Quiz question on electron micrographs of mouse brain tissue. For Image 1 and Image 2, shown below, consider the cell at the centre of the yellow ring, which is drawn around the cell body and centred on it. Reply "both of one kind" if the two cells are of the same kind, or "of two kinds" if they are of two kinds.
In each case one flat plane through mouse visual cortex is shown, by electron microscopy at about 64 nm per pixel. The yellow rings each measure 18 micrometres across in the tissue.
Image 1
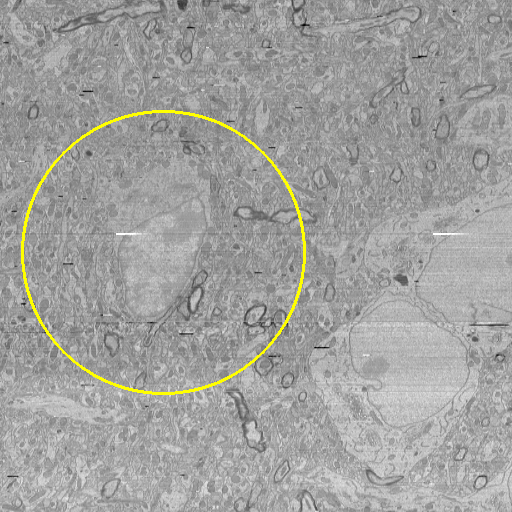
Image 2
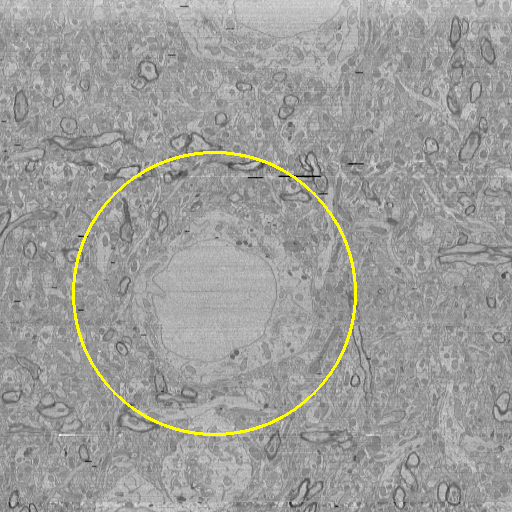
of two kinds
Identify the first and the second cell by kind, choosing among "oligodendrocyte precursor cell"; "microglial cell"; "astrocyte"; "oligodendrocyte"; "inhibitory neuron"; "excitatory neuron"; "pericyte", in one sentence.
The one in the first picture is an oligodendrocyte, while the one in the second is an excitatory neuron.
